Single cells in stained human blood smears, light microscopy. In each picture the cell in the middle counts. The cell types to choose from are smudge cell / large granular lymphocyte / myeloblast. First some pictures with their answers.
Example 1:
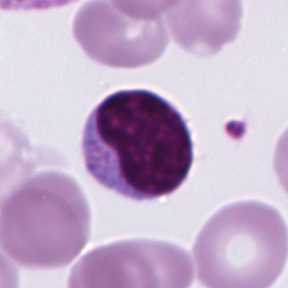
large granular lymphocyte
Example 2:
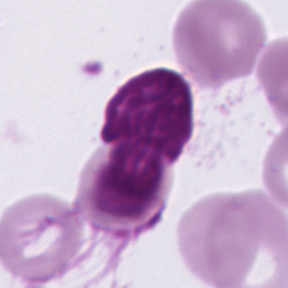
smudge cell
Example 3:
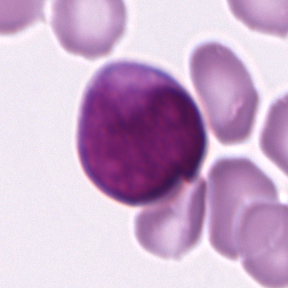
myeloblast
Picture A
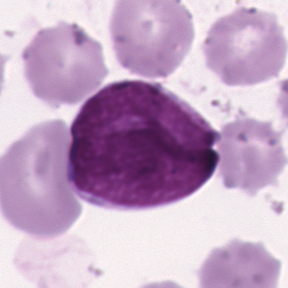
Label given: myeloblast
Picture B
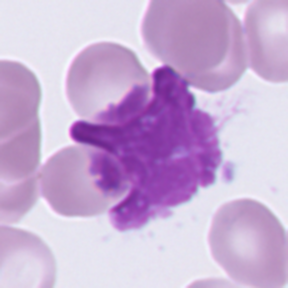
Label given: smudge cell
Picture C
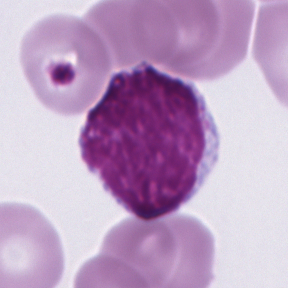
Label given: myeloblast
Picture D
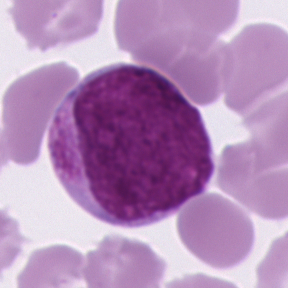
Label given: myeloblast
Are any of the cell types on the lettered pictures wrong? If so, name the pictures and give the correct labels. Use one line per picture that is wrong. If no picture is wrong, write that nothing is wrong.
C: not myeloblast but large granular lymphocyte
